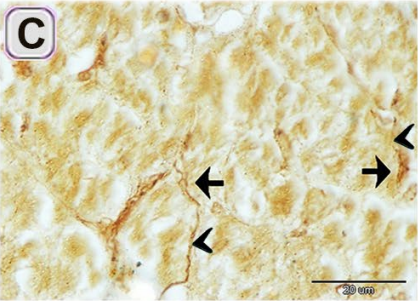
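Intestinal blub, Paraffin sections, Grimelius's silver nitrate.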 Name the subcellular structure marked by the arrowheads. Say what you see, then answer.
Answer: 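Very thin, long, wavy dark brown threads. The threads run between larger pale golden cells. That points to this answer: Telopodes.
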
